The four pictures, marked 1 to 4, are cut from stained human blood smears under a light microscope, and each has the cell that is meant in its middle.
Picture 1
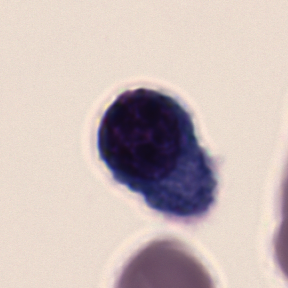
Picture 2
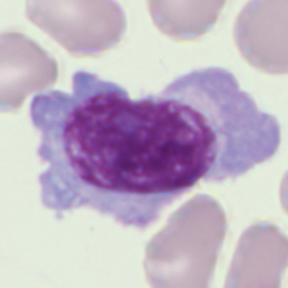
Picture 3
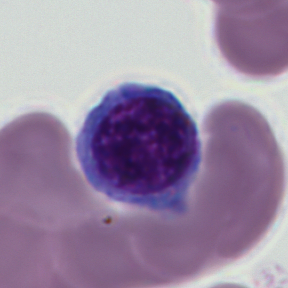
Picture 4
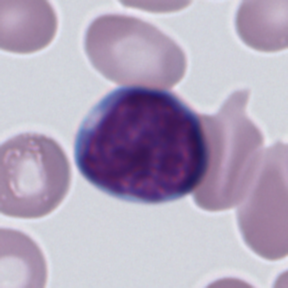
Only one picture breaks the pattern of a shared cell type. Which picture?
4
